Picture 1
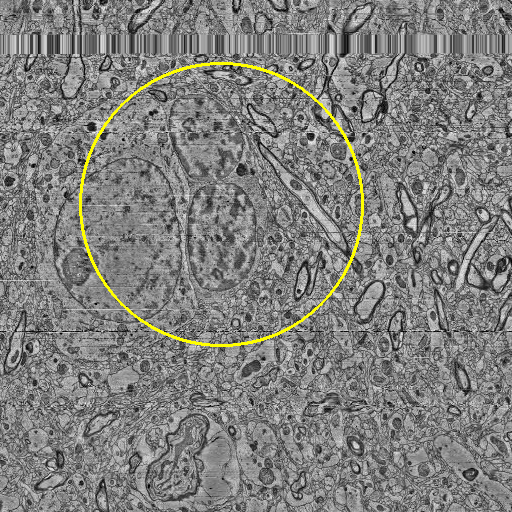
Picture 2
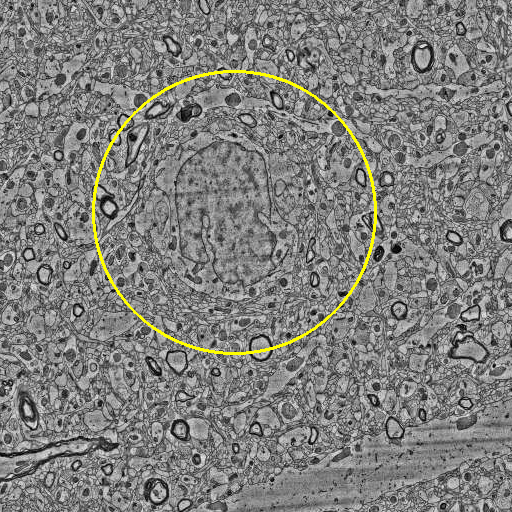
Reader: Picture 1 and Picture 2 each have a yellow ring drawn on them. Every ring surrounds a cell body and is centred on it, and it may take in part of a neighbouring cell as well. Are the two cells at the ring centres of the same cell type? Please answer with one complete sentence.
No, the cells are of two cell types.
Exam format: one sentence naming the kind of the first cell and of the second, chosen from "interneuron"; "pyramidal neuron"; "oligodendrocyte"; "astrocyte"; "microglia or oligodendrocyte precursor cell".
The first picture's cell is an oligodendrocyte, and the second picture's cell is an interneuron.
